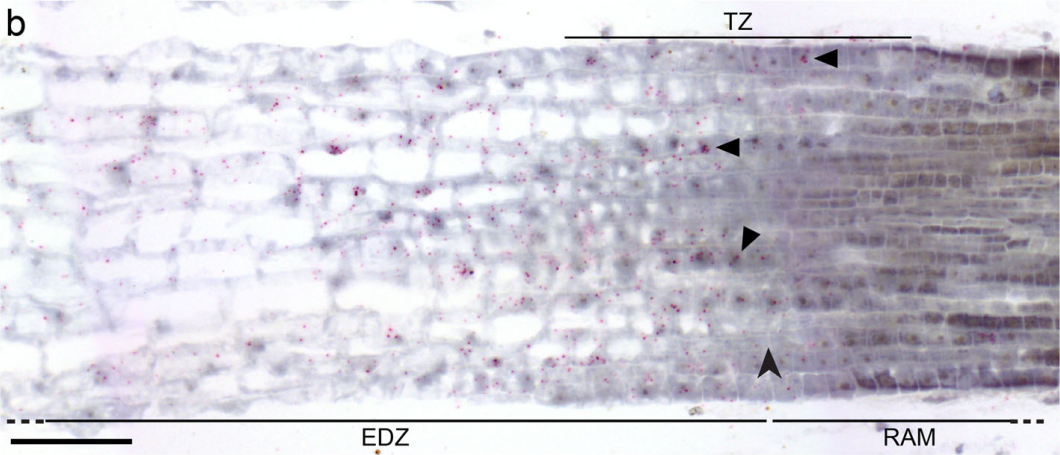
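A longitudinal section through a root tip shows files of cells running lengthwise, small and densely stained toward one end and becoming larger, paler and vacuolated toward the other. Red dots are scattered through the outer files of enlarging cells, the epidermis and cortex, and are sparse among the small dense cells.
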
